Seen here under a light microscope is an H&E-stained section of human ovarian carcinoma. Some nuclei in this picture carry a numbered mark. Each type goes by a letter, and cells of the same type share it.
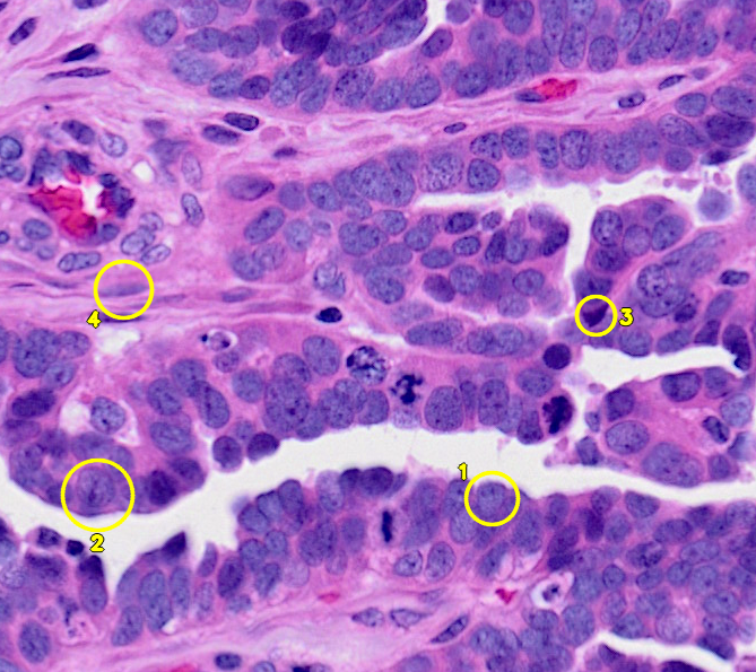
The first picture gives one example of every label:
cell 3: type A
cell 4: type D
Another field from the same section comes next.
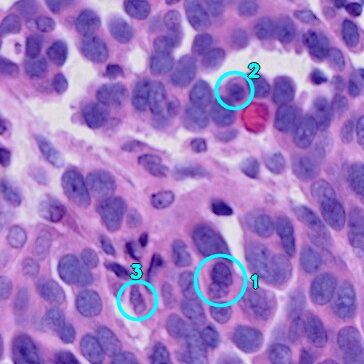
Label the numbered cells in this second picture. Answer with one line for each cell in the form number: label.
1: type A
2: type A
3: type D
